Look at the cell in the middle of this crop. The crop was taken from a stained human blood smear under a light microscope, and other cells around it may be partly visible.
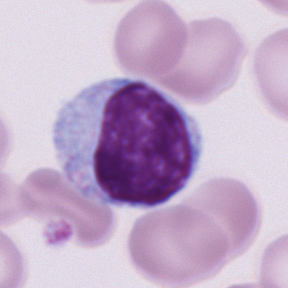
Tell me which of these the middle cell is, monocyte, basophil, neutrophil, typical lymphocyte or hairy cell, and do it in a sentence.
Looking at the middle of the crop, the cell there is a typical lymphocyte.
